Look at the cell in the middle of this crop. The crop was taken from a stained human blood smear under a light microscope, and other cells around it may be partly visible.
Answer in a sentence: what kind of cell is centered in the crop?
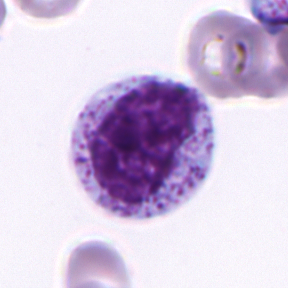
By type, the central cell of the crop is a metamyelocyte.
